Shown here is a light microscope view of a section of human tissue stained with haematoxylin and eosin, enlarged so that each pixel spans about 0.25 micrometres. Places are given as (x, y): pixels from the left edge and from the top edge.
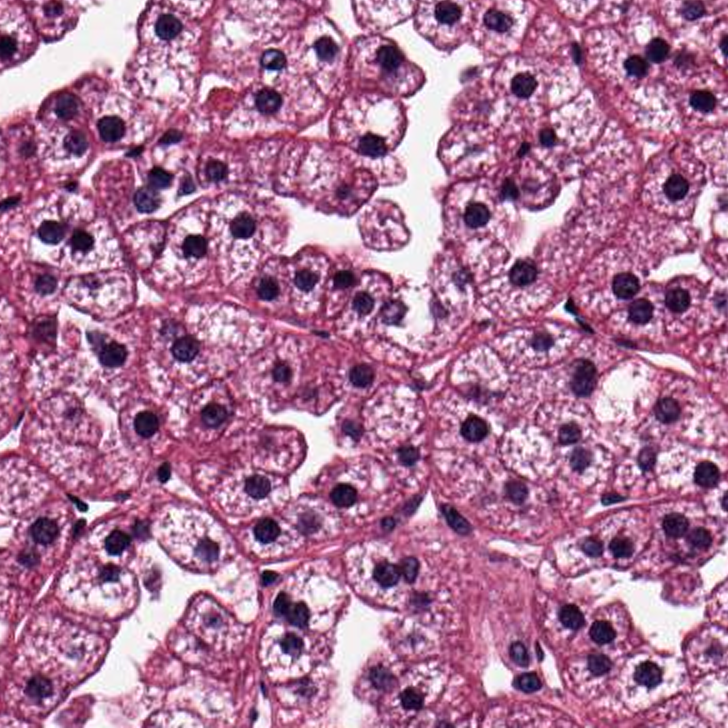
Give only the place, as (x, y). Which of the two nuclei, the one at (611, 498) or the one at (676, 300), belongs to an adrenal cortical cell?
(676, 300)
